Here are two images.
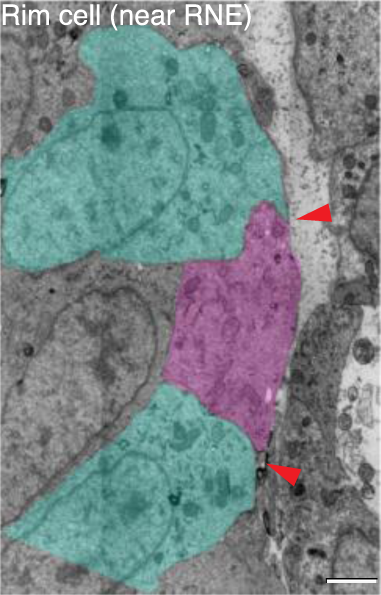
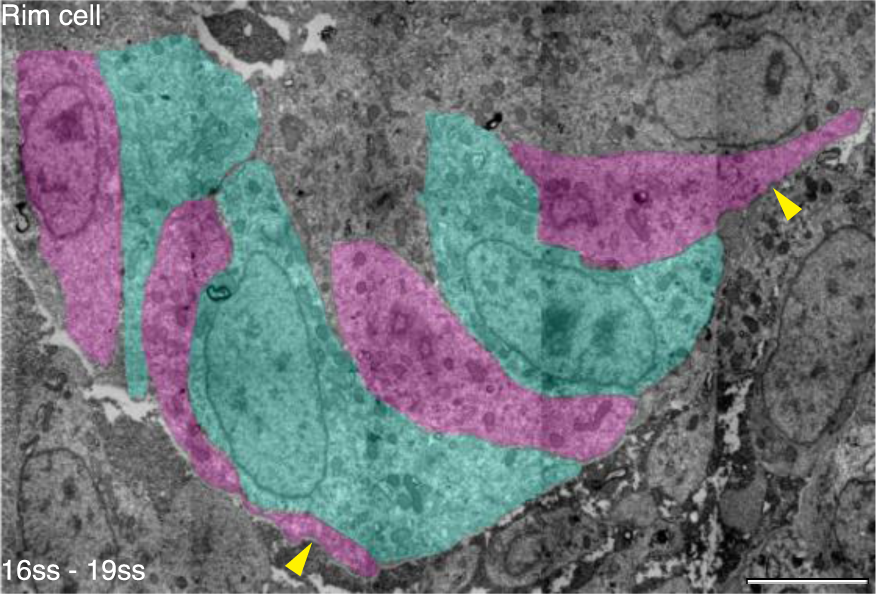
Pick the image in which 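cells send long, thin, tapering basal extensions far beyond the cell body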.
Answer: the second image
